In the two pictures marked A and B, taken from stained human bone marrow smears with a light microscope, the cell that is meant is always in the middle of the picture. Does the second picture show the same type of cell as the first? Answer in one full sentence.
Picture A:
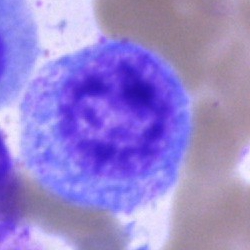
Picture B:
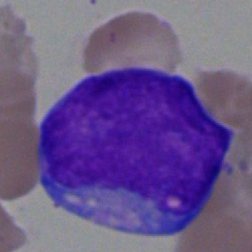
No, picture A shows a promyelocyte and picture B shows a blast.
